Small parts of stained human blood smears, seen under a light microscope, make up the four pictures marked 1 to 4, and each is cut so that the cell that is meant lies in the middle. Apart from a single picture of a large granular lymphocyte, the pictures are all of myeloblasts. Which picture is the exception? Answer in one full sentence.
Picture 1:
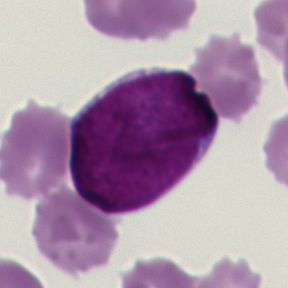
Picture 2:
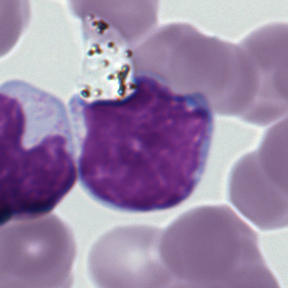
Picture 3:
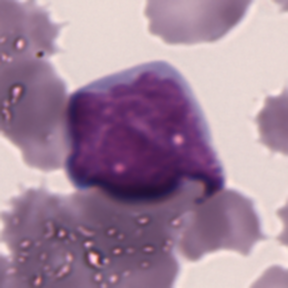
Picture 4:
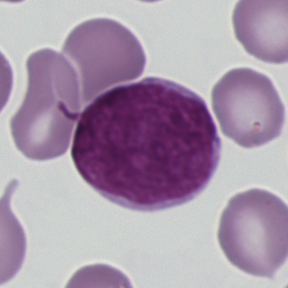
The large granular lymphocyte is the one in picture 2.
